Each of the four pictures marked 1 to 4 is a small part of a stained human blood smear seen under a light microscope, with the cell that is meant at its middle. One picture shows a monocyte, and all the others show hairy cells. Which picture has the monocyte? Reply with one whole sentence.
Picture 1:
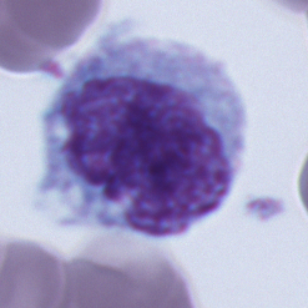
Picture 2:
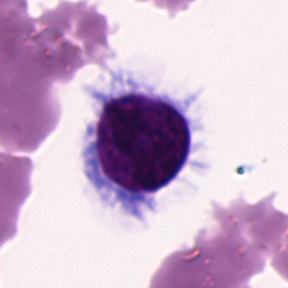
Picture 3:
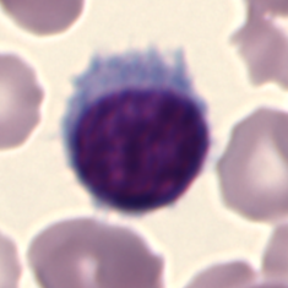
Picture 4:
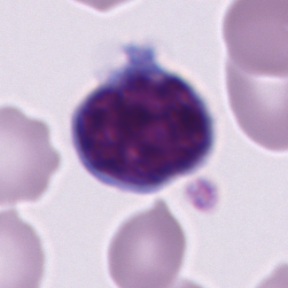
The cell in picture 1 is the monocyte.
